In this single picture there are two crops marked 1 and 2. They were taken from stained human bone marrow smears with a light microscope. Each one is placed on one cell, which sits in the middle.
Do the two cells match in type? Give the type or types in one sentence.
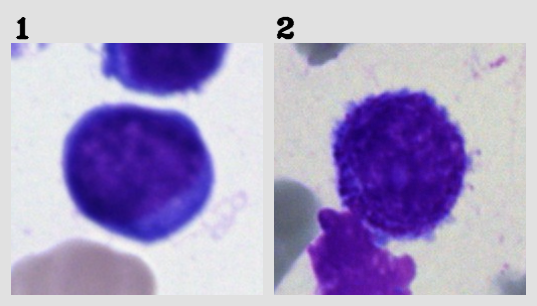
Yes, in short, both crops show blasts.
